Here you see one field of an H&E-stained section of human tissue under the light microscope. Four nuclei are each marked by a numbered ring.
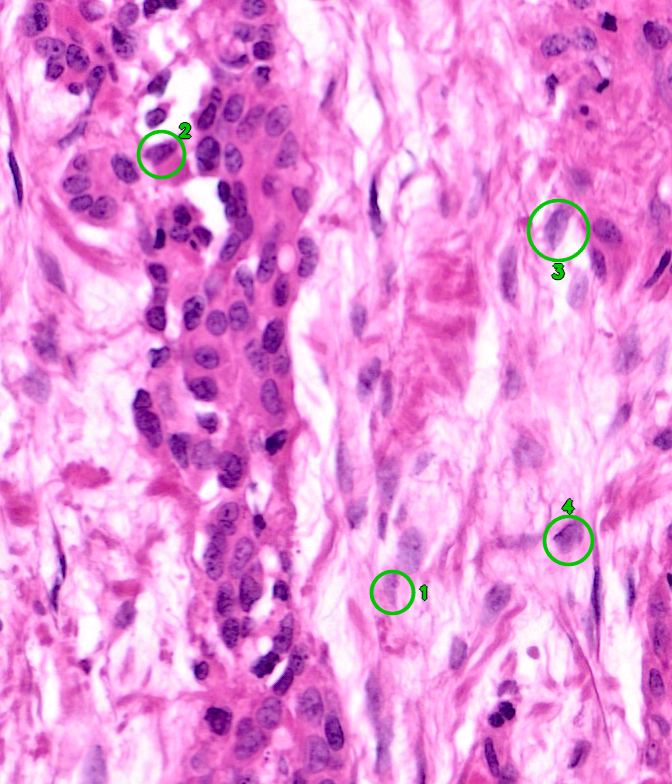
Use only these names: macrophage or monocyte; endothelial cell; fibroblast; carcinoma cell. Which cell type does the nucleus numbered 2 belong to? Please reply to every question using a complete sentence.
At number 2, the marked cell is a carcinoma cell.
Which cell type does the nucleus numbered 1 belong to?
The cell indicated by marker 1 is a fibroblast in this section.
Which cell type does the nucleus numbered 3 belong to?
To a fibroblast belongs the nucleus marked 3.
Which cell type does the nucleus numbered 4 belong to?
As for number 4, that cell is a fibroblast.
